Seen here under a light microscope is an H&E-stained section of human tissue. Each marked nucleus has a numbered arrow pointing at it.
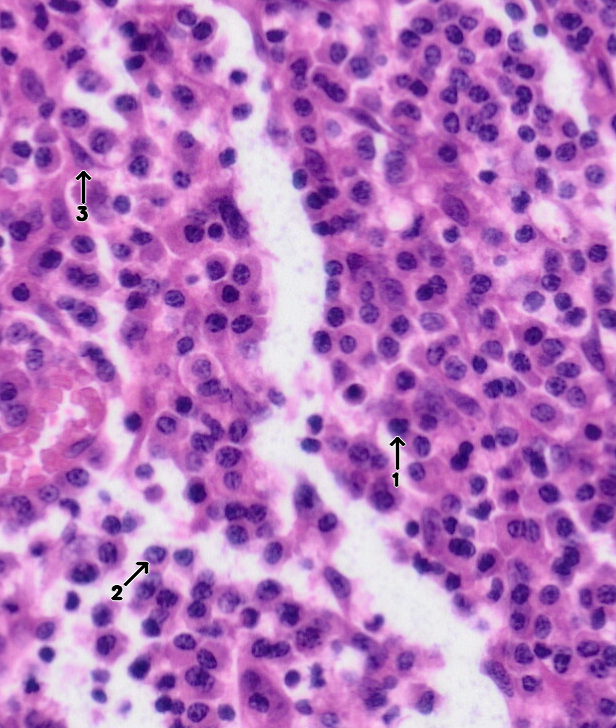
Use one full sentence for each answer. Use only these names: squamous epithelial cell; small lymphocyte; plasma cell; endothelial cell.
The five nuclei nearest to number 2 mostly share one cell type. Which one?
Plasma cells account for more than half of the five nuclei nearest to number 2.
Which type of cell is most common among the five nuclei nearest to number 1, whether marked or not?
Squamous epithelial cells account for more than half of the five nuclei nearest to number 1.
